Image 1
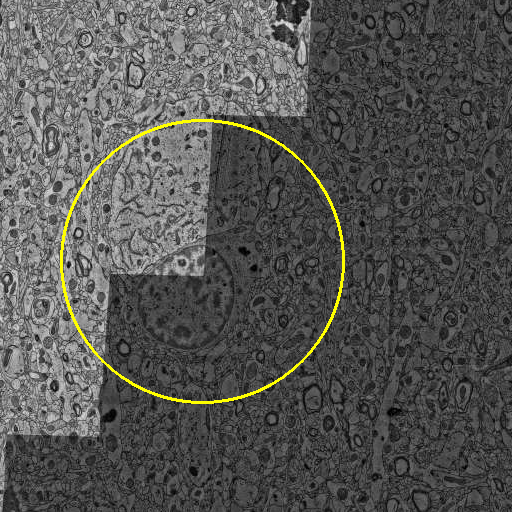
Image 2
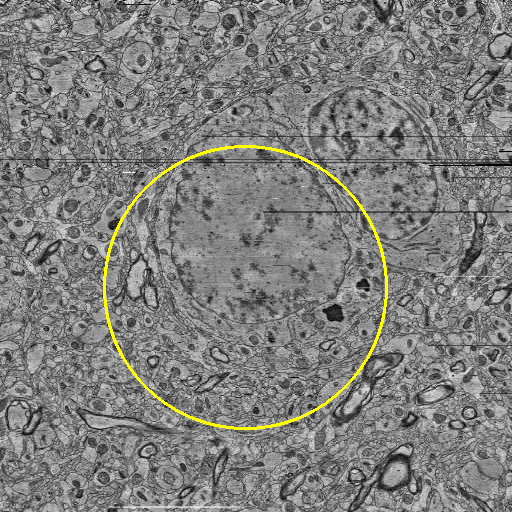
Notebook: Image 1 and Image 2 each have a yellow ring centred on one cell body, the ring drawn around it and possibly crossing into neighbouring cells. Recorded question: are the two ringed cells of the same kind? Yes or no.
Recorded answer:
no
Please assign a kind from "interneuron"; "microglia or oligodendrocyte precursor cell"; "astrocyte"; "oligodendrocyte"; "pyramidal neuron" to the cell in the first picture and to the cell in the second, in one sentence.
In the first picture we have an oligodendrocyte, and in the second, a pyramidal neuron.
